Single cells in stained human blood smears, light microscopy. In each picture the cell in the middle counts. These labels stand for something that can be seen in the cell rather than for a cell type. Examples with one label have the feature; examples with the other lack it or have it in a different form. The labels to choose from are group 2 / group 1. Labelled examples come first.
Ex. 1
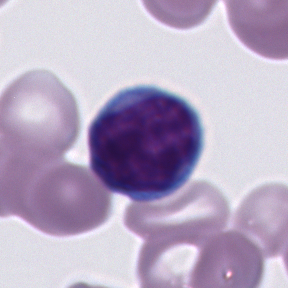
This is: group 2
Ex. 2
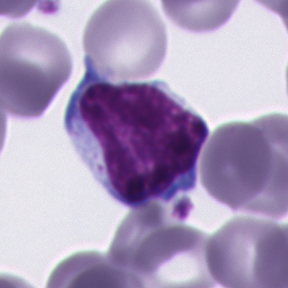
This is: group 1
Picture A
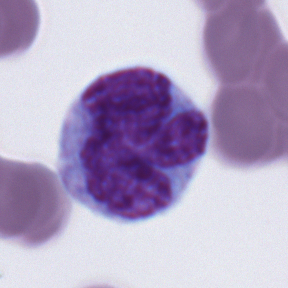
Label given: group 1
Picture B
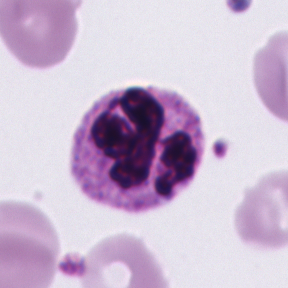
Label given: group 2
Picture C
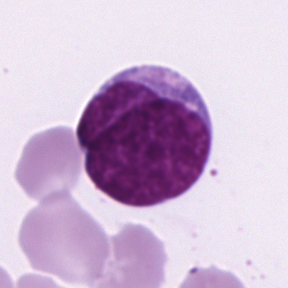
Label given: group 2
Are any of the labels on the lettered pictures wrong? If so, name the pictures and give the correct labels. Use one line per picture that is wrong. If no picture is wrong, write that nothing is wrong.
A: not group 1 but group 2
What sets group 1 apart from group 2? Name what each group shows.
group 1: ragged outline or projections; group 2: smooth outline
